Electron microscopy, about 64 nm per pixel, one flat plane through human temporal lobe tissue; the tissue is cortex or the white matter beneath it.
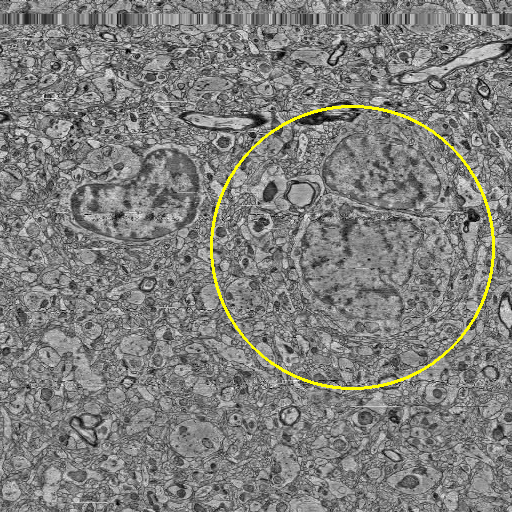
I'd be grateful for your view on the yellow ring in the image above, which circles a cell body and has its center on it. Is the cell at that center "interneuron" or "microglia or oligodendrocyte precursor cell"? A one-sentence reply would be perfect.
The cell at the center of the yellow ring is an interneuron.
